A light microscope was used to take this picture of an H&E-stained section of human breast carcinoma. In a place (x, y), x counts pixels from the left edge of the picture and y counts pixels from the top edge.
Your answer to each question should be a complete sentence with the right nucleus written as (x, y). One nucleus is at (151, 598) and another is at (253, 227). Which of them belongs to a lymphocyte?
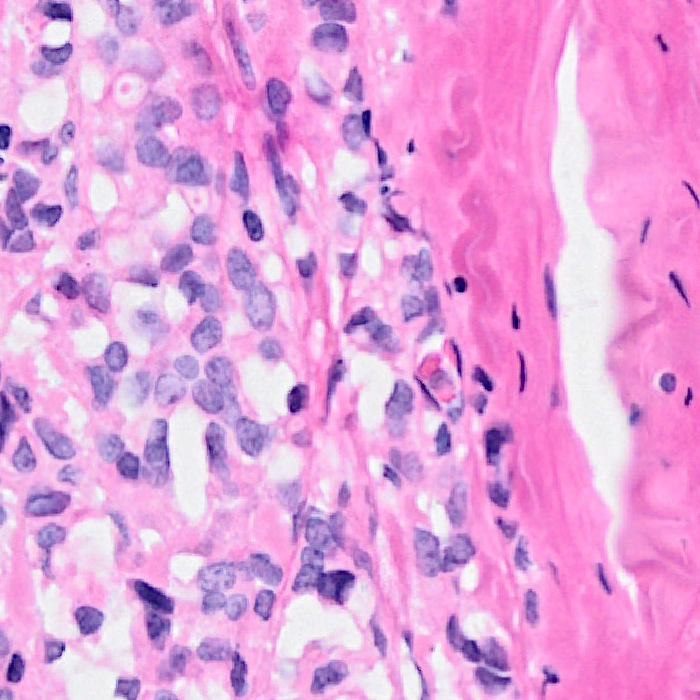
Of the two candidate nuclei, the one at (253, 227) is that of a lymphocyte.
